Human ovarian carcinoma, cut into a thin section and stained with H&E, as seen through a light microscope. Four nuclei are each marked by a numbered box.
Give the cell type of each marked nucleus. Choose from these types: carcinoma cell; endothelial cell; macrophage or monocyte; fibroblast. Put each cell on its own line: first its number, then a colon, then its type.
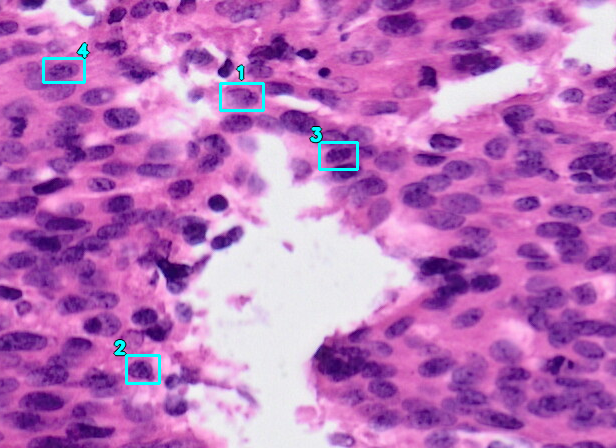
1: carcinoma cell
2: macrophage or monocyte
3: carcinoma cell
4: carcinoma cell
